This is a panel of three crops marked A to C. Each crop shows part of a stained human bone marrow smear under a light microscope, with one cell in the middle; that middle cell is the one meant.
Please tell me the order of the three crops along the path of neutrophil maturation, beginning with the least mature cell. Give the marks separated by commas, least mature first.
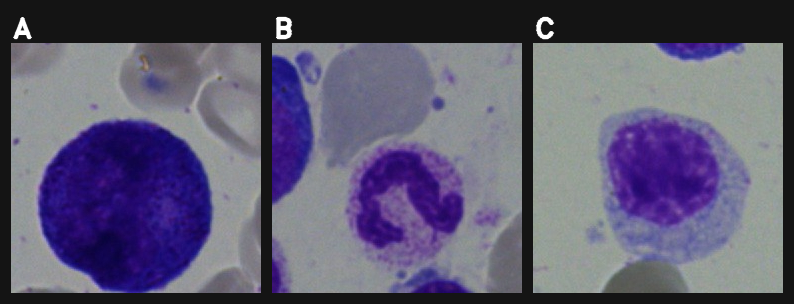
A, C, B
